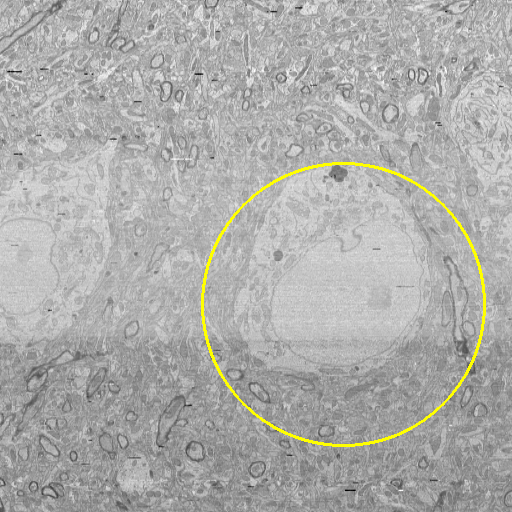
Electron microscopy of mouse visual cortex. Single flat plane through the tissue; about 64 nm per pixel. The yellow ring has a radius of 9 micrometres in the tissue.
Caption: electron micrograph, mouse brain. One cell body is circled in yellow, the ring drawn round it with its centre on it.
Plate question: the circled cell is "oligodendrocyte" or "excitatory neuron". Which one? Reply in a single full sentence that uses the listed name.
The yellow ring on the plate is centred on an excitatory neuron, going by the listed names.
